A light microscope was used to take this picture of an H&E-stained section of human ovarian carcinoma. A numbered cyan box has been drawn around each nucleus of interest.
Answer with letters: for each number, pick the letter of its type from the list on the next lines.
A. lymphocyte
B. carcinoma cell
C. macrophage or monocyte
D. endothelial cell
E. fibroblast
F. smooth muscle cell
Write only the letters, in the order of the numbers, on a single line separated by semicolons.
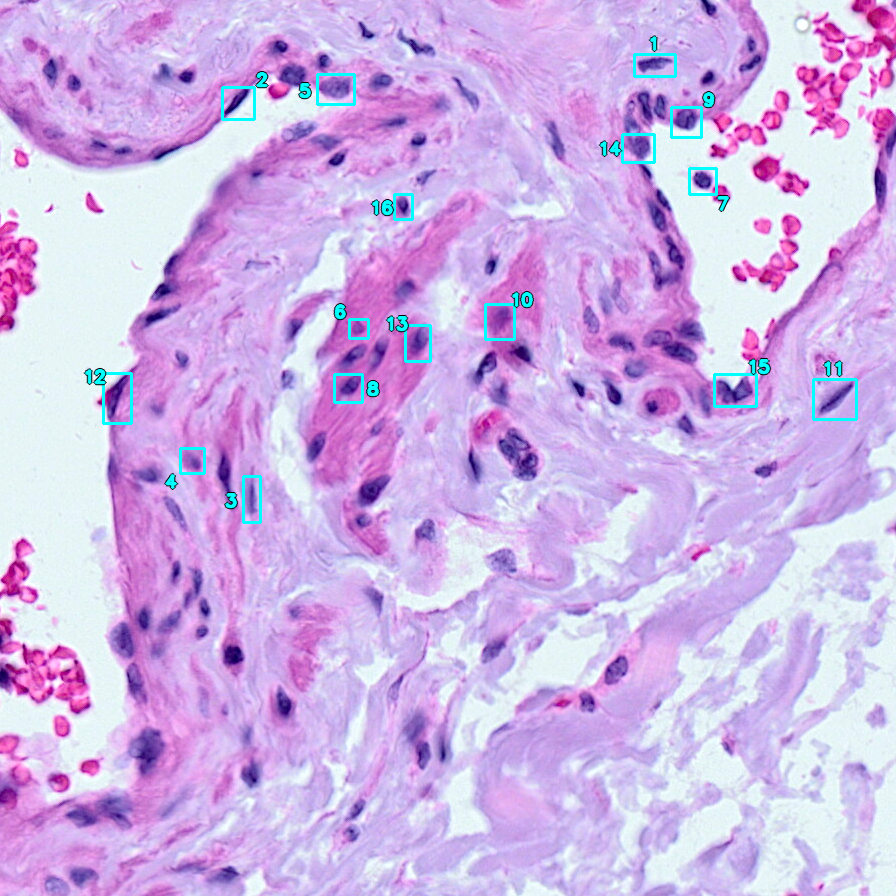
E; D; E; F; D; F; A; F; D; F; E; D; F; D; D; F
